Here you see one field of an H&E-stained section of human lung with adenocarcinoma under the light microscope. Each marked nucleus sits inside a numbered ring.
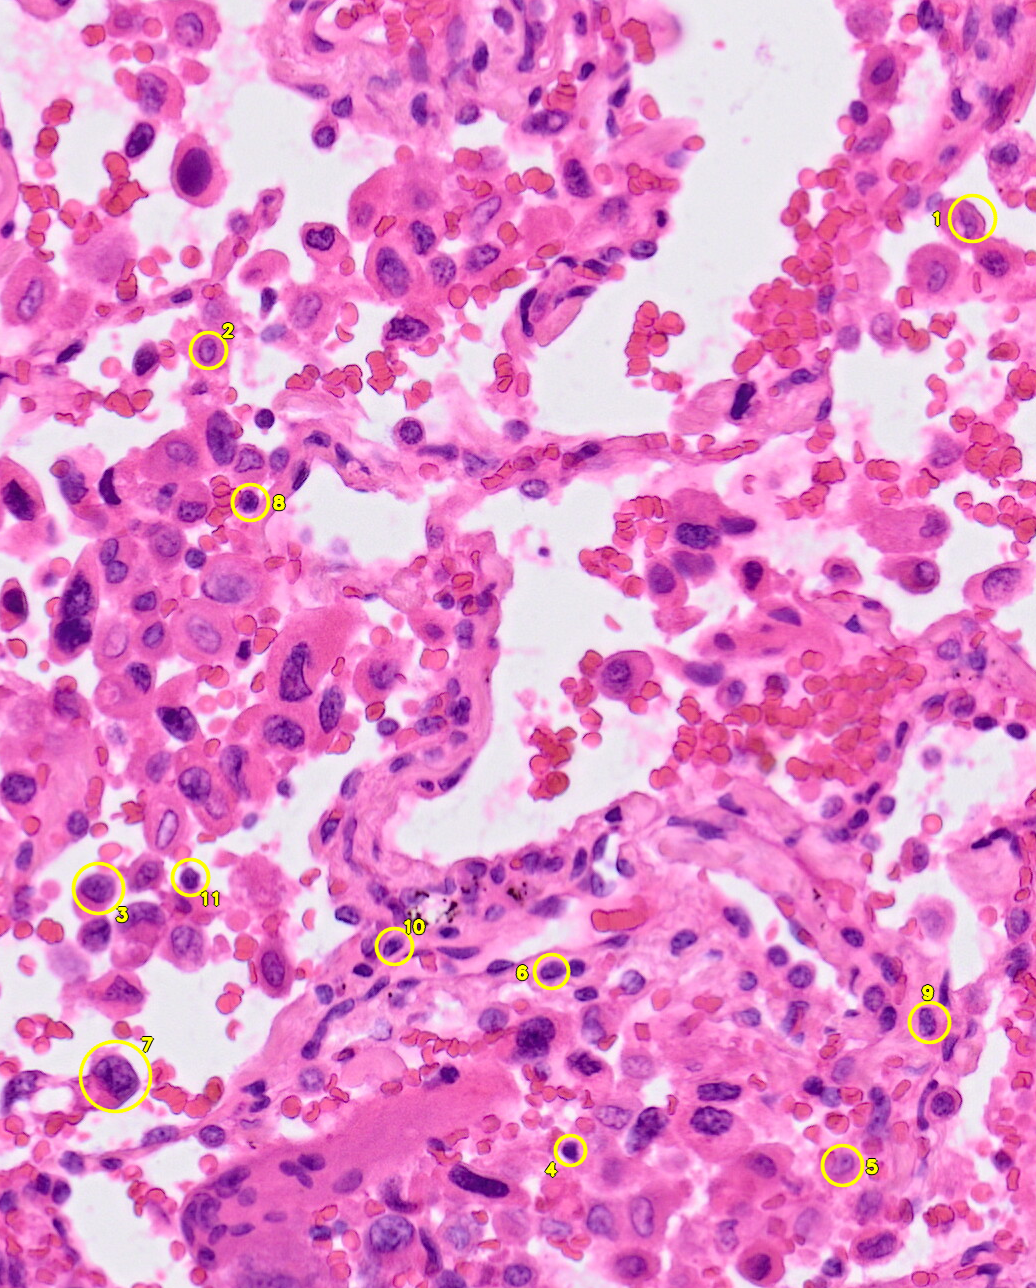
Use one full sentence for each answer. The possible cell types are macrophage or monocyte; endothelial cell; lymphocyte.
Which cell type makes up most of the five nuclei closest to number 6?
Most of the five nuclei nearest to number 6 are those of endothelial cells.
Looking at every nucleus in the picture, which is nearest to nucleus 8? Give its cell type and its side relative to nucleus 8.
The closest nucleus belongs to a macrophage or monocyte and sits above nucleus 8.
